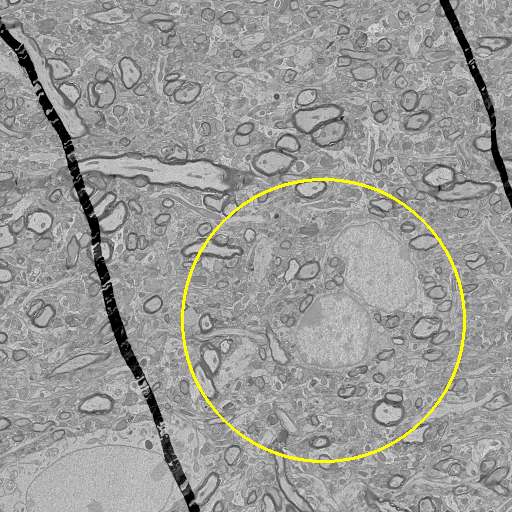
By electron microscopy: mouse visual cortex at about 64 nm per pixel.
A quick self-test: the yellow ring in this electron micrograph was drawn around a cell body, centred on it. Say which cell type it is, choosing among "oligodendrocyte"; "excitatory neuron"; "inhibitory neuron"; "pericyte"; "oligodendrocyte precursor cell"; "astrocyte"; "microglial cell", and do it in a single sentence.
The yellow-ringed cell is an oligodendrocyte.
